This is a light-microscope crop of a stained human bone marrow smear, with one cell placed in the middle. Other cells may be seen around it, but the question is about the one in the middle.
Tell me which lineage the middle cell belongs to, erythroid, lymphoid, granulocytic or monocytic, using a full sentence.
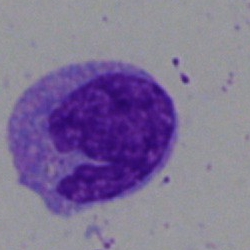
The cell occupying the middle of the crop is classified within the monocytic lineage.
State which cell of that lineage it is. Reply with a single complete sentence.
The middle position in this crop is taken by a monocyte.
